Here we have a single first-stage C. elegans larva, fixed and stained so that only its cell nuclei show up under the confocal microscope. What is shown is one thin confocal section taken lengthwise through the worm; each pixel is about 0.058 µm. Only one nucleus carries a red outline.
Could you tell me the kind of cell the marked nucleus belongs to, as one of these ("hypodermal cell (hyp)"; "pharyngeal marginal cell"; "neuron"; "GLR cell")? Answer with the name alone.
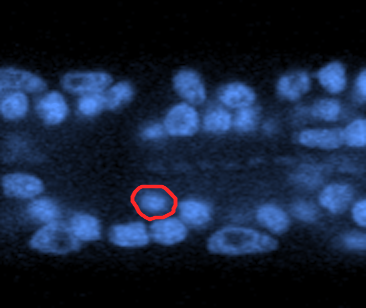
GLR cell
